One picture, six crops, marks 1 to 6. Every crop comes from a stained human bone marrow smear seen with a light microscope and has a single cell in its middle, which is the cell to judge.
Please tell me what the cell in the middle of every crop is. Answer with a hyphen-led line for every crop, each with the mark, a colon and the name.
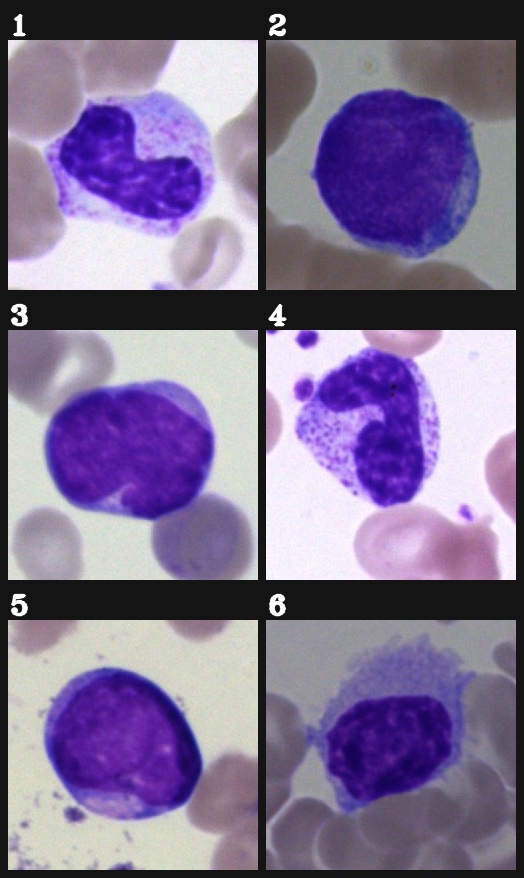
- 1: band neutrophil
- 2: blast
- 3: blast
- 4: band neutrophil
- 5: blast
- 6: hairy cell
